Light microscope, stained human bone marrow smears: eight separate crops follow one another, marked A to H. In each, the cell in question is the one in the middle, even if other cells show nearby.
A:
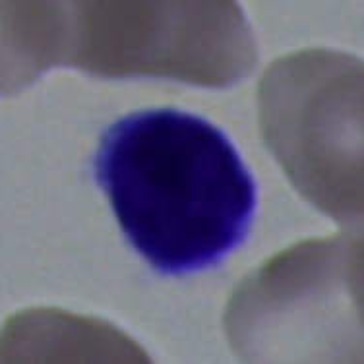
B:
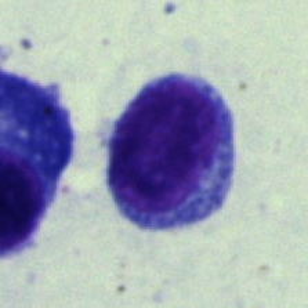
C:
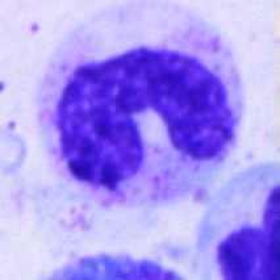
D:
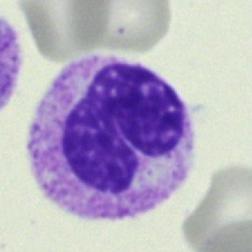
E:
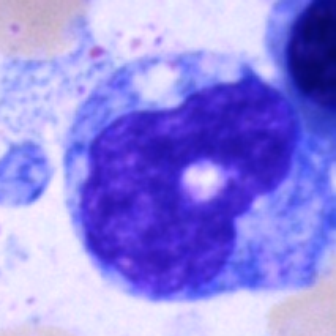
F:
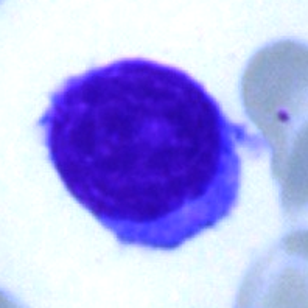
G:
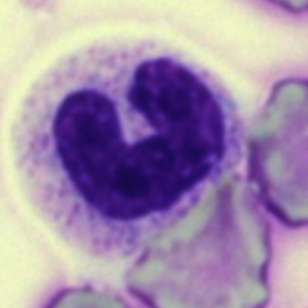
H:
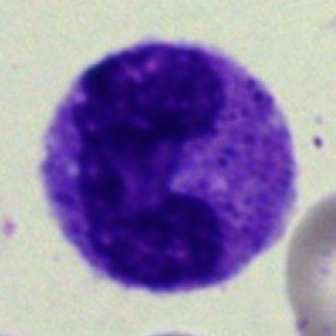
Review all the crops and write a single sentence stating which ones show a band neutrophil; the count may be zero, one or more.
Crops C, D, G and H are designated as showing band neutrophils.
